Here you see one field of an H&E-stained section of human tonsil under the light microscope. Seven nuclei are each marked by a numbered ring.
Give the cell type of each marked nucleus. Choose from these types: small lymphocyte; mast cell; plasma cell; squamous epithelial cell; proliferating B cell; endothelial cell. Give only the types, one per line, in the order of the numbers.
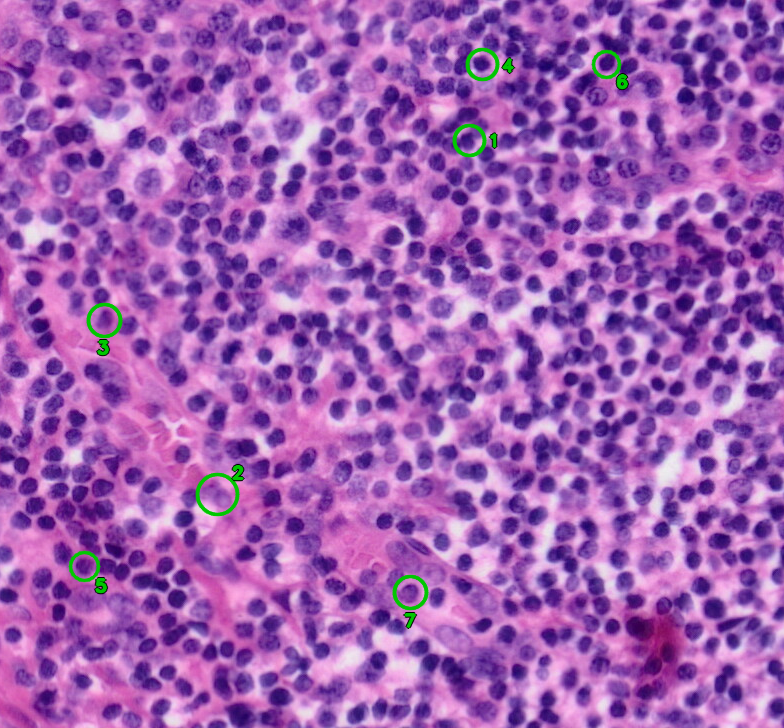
small lymphocyte
endothelial cell
endothelial cell
small lymphocyte
endothelial cell
small lymphocyte
endothelial cell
